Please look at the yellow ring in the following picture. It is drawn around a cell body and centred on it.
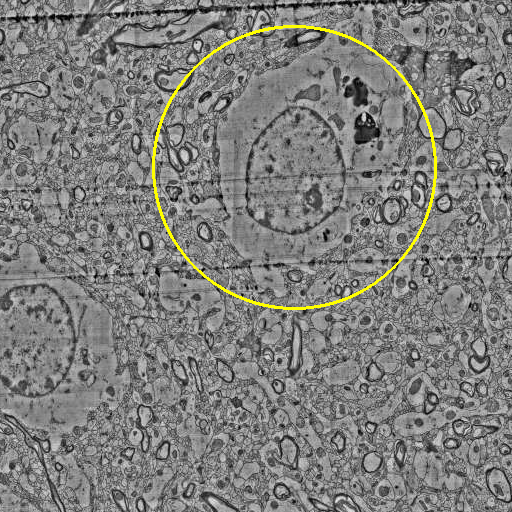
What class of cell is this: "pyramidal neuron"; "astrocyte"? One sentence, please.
The ring surrounds the cell body of an astrocyte.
